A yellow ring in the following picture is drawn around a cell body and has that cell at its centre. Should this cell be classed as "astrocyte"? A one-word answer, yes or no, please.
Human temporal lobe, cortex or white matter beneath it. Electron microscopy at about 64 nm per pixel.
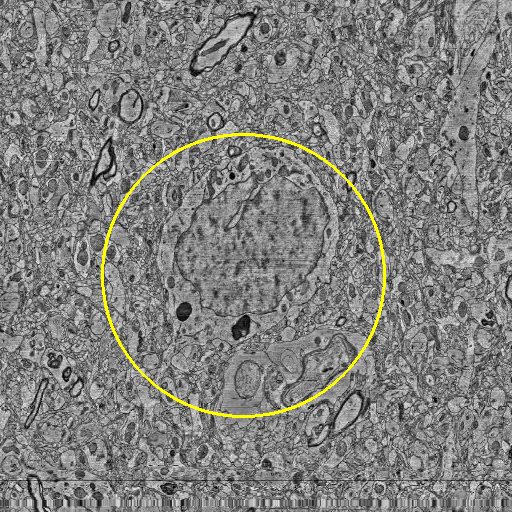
No, it is of another kind.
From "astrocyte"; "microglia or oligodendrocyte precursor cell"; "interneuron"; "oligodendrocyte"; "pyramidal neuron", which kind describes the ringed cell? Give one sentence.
It is an interneuron at the centre of the ring.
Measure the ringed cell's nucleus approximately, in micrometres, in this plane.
In this plane, the nucleus is roughly 11 by 8 micrometres.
